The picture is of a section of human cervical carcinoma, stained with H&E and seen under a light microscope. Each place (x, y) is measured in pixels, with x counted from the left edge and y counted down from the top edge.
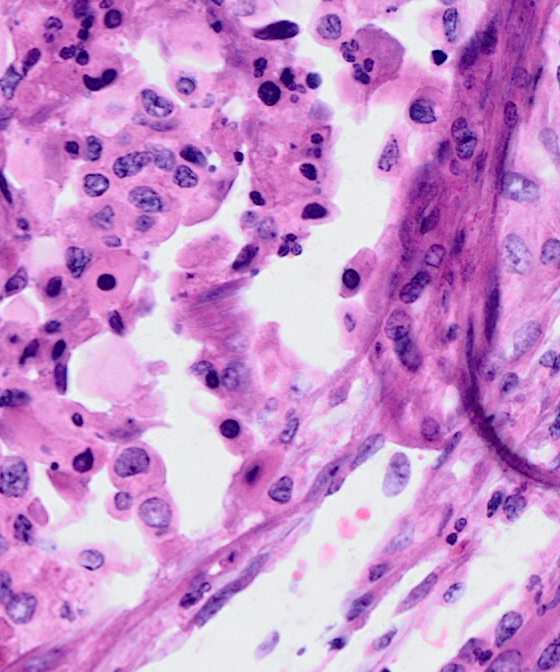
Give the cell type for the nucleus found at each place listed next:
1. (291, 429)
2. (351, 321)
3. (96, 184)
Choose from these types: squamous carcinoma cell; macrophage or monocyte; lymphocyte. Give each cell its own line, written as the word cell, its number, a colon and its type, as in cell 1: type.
cell 1: macrophage or monocyte
cell 2: squamous carcinoma cell
cell 3: squamous carcinoma cell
